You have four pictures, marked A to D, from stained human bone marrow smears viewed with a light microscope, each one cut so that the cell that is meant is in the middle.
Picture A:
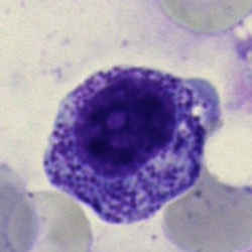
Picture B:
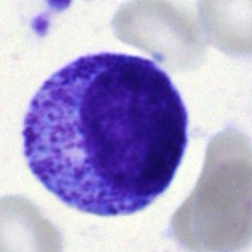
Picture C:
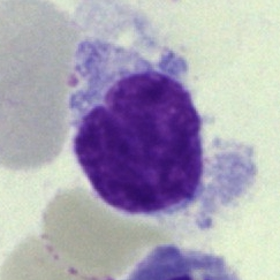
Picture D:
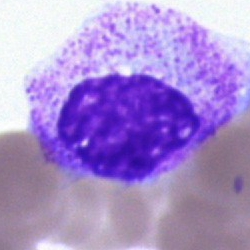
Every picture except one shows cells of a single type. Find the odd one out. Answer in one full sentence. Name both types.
All pictures except C show myelocytes; picture C shows a hairy cell.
